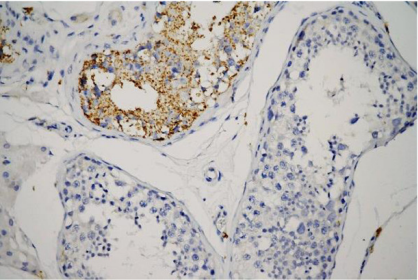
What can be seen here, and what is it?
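Testicular tissue with several seminiferous tubules cut in cross section, separated by loose pale interstitial tissue. One tubule, at upper left, is filled with large cells with pale, vacuolated cytoplasm and is covered by coarse, granular brown stain lying in the cytoplasm. The neighbouring tubules are unstained and show an ordered lining of germ cells with many small, dark blue nuclei toward the lumen. The tubules are bounded by thin walls with flattened peritubular cells. A few elongated stromal nuclei lie in the interstitium between the tubules.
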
